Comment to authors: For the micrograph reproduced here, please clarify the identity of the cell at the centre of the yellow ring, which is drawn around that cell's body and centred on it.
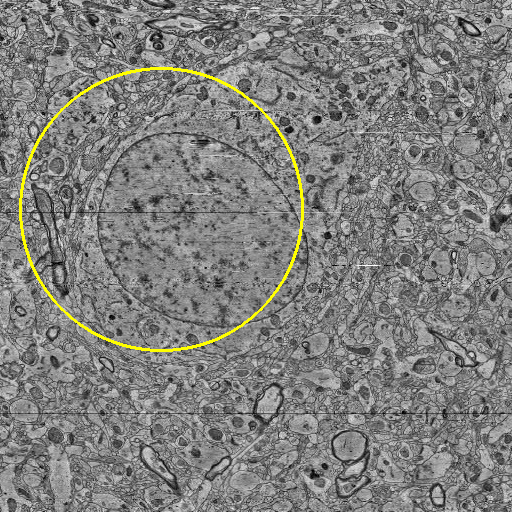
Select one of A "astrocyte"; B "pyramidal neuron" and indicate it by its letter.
B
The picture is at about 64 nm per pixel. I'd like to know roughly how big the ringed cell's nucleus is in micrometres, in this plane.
In this plane, approximately 14 micrometres across.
